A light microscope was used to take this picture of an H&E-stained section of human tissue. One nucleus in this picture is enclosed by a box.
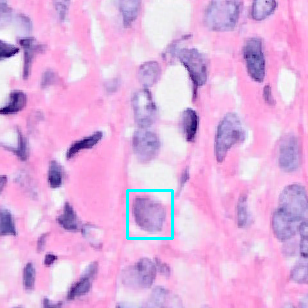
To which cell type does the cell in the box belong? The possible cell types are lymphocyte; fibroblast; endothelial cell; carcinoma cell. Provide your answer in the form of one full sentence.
The expected answer is simply that the cell in the box is a carcinoma cell.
